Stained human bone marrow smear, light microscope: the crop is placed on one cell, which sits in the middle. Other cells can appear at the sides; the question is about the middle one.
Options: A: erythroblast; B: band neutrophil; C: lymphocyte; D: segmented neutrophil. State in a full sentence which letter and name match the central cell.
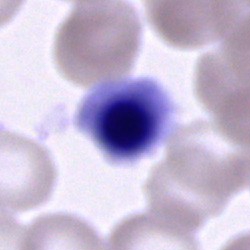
Option A gives the correct identity of the central cell, namely an erythroblast.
